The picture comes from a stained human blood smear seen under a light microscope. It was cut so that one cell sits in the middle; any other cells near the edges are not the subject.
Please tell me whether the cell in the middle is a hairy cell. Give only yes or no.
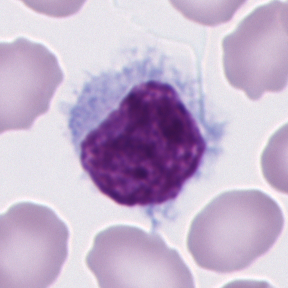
yes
